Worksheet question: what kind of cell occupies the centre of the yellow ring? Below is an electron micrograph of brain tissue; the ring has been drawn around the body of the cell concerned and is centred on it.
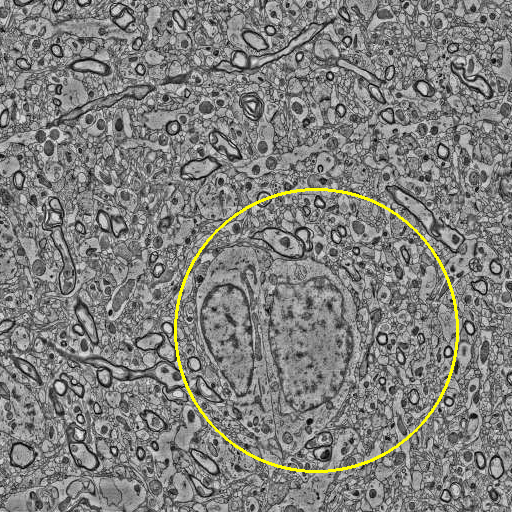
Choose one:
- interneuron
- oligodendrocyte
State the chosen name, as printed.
interneuron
